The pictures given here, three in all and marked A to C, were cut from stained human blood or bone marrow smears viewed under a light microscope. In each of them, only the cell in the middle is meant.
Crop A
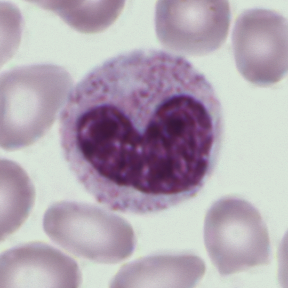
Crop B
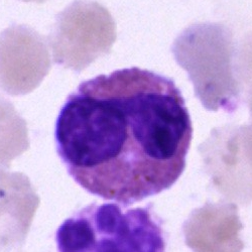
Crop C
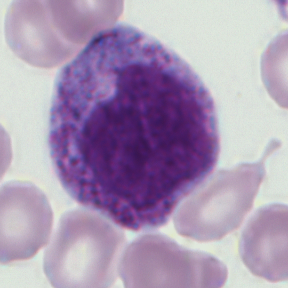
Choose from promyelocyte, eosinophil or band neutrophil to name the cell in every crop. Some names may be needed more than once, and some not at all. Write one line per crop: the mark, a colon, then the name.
A: band neutrophil
B: eosinophil
C: promyelocyte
